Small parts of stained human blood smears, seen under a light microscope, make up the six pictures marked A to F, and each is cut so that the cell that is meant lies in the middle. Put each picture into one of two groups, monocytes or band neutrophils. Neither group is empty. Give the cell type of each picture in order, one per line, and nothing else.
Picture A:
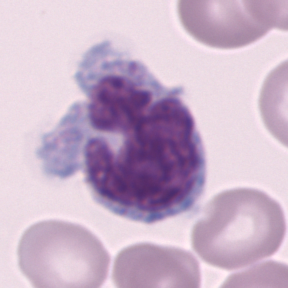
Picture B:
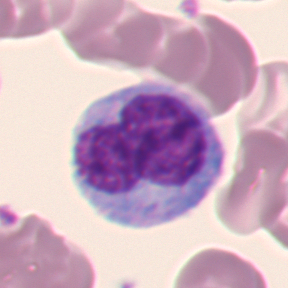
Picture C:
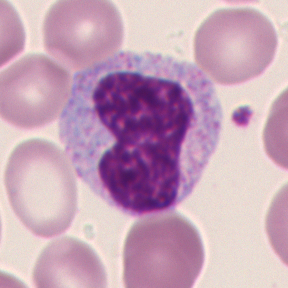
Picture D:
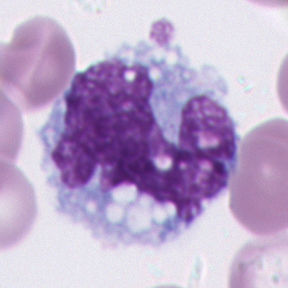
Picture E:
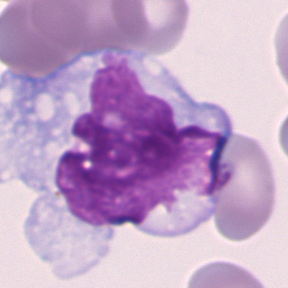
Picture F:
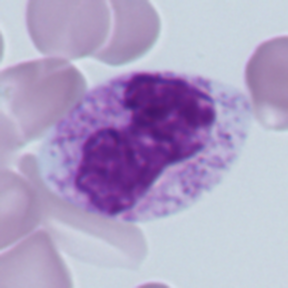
monocyte
monocyte
band neutrophil
monocyte
monocyte
band neutrophil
